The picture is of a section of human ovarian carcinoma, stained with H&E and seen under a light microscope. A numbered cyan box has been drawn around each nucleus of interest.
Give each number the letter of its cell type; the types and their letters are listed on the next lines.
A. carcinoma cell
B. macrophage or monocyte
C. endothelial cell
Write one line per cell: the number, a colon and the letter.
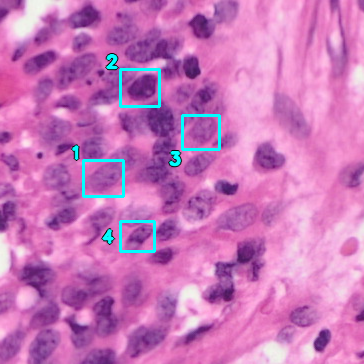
1: A
2: A
3: A
4: B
